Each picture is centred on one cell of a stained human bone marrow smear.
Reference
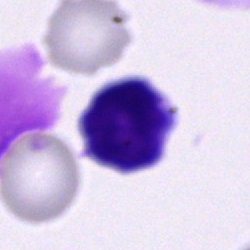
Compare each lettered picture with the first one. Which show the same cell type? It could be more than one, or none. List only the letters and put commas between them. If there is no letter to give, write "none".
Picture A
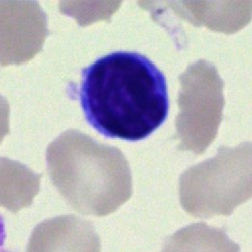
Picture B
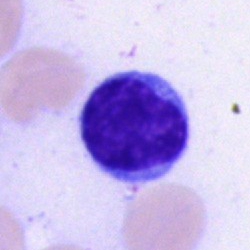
A, B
